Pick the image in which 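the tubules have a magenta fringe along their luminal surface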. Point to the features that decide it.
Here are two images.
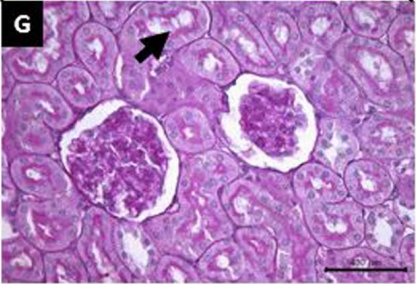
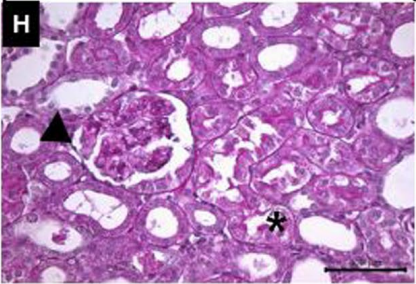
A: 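The first image. Second image: many tubules have wide, empty lumens with smooth, bare apical edges. First image: tubules have narrow lumens lined by a fuzzy magenta apical fringe.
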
